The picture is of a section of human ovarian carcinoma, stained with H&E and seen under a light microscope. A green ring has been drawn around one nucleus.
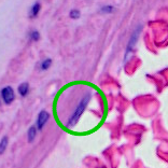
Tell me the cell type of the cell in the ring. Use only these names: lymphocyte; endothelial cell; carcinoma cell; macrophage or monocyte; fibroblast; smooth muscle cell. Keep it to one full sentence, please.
On this particular slide, the cell in the ring is an endothelial cell.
